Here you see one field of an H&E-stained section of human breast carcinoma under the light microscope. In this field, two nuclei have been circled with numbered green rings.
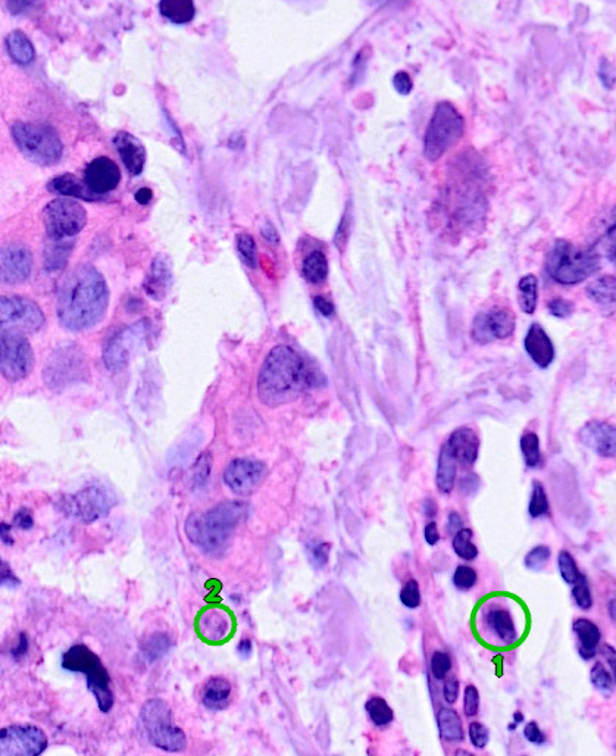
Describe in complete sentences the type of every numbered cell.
Cell 1 is a lymphocyte and cell 2 is a macrophage, monocyte or dendritic cell.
